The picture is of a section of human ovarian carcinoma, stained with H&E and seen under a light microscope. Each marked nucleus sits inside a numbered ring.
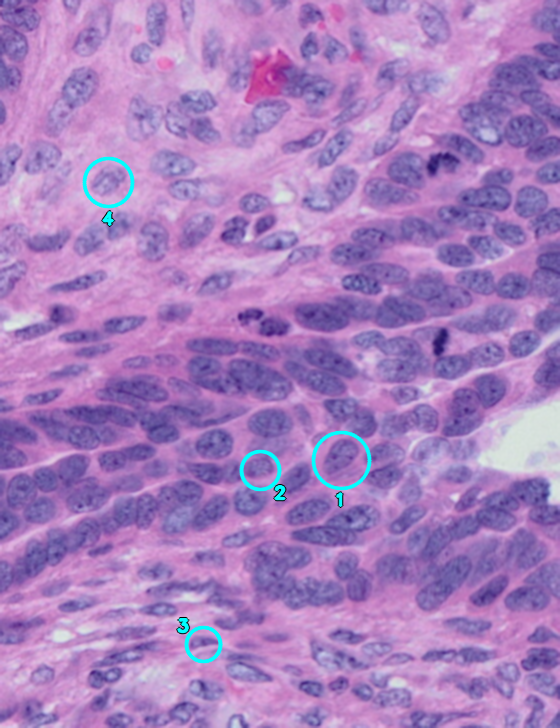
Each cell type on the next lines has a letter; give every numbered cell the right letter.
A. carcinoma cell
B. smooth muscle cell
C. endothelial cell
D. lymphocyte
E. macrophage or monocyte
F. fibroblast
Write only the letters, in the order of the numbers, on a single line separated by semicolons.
A; A; F; F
